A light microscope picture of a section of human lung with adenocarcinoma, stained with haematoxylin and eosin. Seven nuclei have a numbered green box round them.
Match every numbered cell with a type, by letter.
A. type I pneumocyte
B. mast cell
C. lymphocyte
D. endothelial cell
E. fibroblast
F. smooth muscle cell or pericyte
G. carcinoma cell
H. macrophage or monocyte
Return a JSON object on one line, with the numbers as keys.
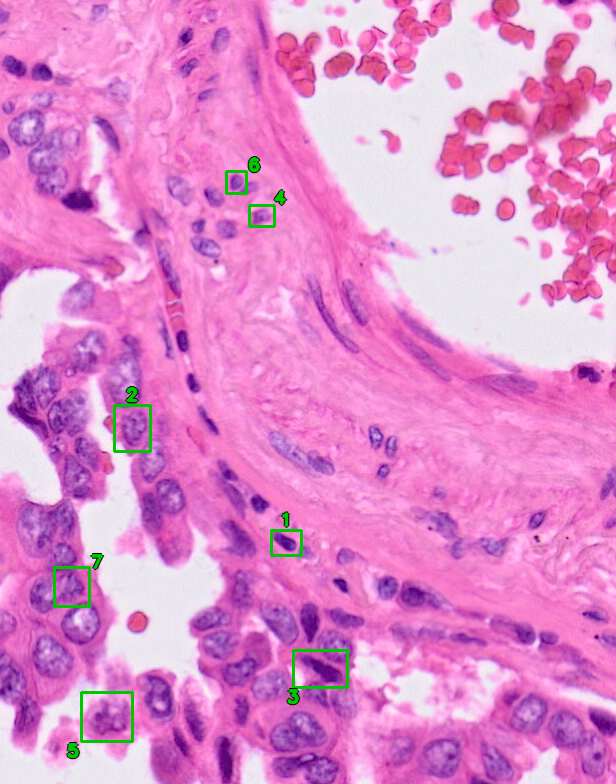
{"1": "C", "2": "G", "3": "G", "4": "F", "5": "G", "6": "F", "7": "G"}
